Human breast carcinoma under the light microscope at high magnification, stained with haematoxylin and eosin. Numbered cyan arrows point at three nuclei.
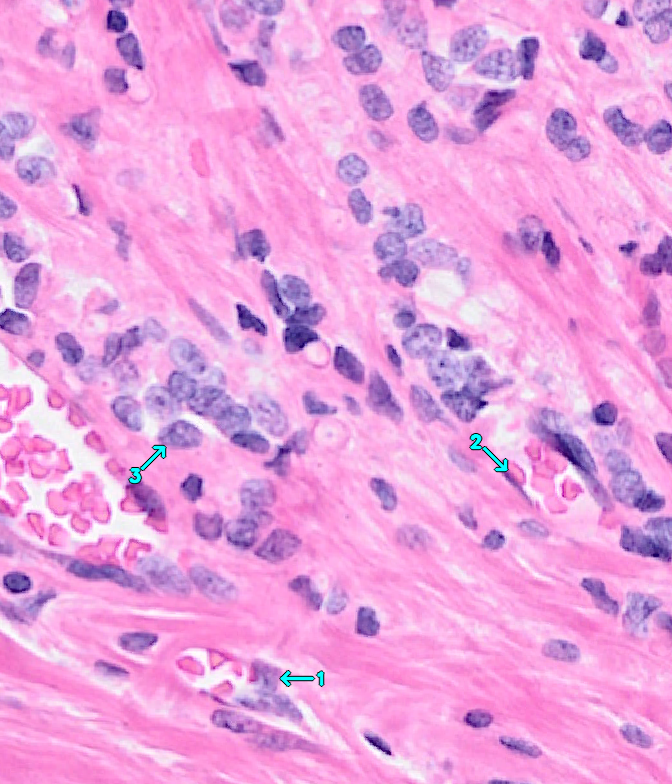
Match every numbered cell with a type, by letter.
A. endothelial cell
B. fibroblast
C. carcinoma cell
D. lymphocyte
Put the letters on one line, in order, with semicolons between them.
A; A; C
